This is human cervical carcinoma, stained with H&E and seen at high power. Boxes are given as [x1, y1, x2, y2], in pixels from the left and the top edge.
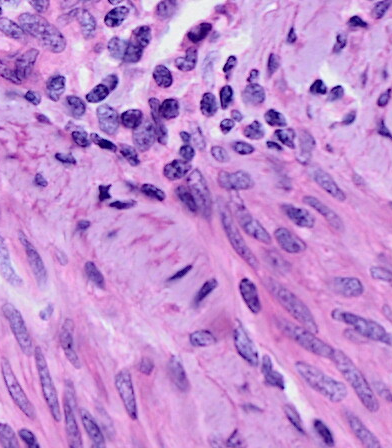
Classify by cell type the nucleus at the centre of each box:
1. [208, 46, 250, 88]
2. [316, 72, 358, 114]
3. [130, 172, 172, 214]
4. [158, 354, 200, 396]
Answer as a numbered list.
1. lymphocyte
2. lymphocyte
3. lymphocyte
4. smooth muscle cell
